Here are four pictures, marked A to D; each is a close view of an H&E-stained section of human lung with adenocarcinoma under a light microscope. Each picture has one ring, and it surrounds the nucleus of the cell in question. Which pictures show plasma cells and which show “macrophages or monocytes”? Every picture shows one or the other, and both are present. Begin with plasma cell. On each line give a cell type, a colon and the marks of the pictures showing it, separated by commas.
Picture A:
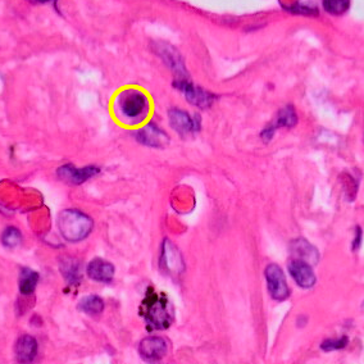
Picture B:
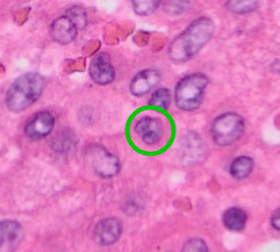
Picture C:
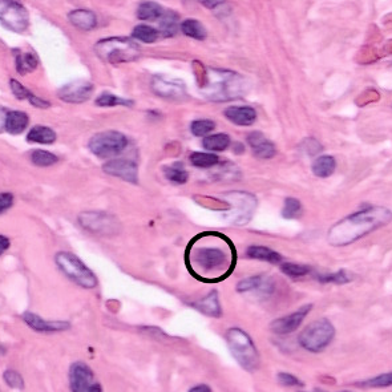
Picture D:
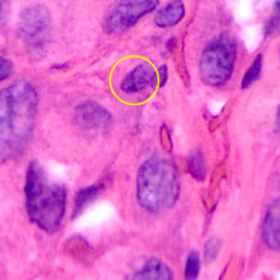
plasma cell: A, C
macrophage or monocyte: B, D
